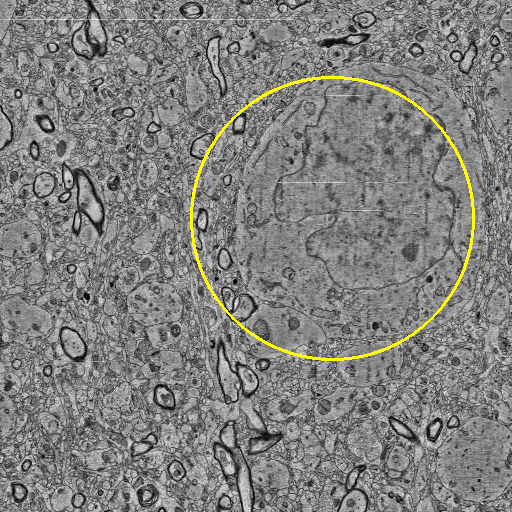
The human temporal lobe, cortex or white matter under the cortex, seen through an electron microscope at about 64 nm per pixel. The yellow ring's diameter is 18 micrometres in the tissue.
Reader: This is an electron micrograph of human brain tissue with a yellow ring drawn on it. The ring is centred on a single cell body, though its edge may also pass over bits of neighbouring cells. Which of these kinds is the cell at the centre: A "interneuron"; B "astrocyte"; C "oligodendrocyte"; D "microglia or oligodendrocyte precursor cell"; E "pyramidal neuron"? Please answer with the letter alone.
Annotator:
A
